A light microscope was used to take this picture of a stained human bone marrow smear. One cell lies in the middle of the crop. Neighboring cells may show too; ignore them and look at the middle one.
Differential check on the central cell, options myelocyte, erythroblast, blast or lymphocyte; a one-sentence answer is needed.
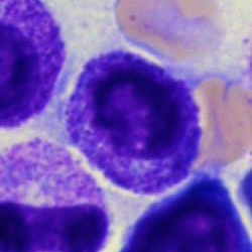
The cell under consideration, at the middle of the crop, is a myelocyte.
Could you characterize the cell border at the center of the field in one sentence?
The cell shows an uneven border, formed by ragged areas or by outward projections.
